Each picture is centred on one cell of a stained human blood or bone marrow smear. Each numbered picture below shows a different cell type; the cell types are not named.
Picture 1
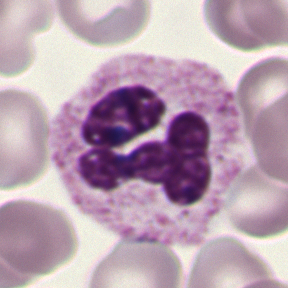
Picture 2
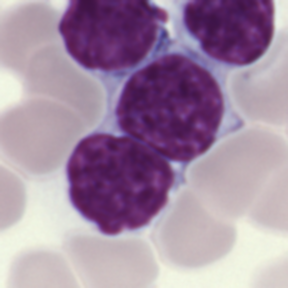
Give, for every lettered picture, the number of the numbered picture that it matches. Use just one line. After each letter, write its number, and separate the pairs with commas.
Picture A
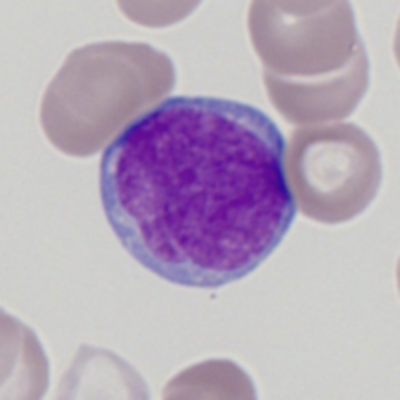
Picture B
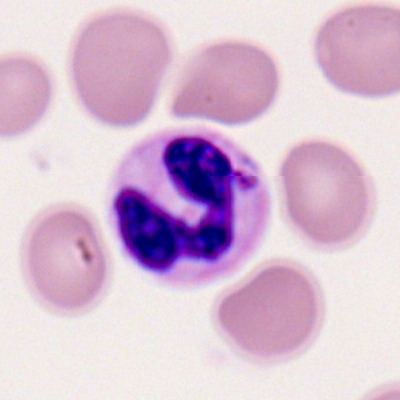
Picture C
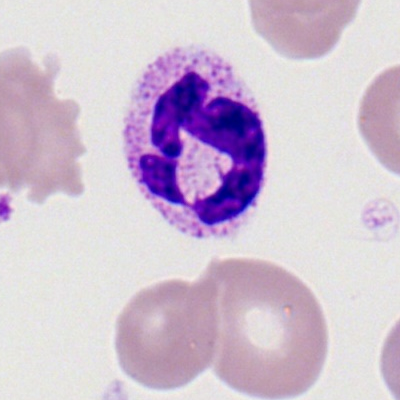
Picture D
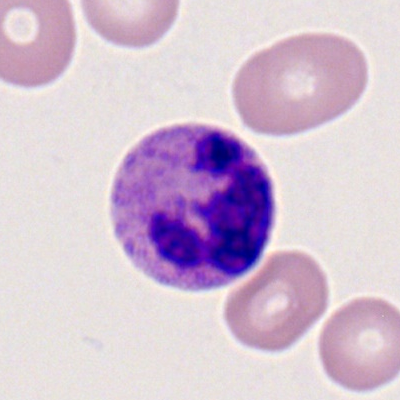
A 2, B 1, C 1, D 1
